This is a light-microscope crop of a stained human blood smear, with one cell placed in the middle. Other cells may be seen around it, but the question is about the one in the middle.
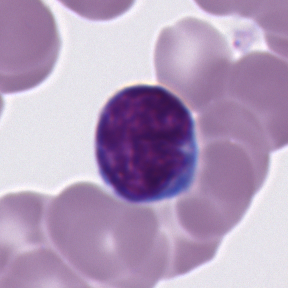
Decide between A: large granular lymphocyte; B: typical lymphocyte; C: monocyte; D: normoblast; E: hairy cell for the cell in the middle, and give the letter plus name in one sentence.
The central cell in this crop is a typical lymphocyte, so the correct choice is option B.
